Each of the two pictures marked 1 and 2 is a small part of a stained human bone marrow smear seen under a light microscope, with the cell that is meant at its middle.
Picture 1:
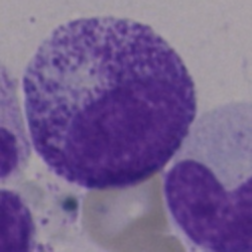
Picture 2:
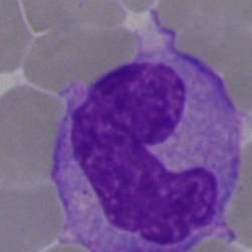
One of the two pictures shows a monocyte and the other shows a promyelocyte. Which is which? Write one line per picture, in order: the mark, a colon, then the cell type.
1: promyelocyte
2: monocyte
